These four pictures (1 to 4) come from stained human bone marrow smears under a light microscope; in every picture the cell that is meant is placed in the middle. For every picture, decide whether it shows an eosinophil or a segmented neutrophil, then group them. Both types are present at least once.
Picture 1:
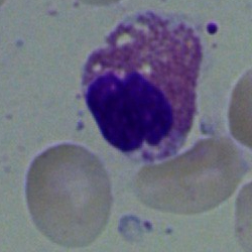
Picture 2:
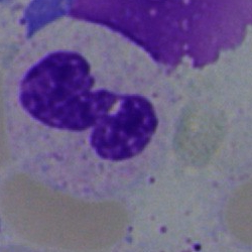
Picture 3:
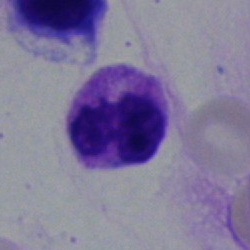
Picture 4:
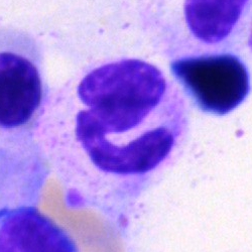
1: eosinophil
2: segmented neutrophil
3: segmented neutrophil
4: segmented neutrophil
